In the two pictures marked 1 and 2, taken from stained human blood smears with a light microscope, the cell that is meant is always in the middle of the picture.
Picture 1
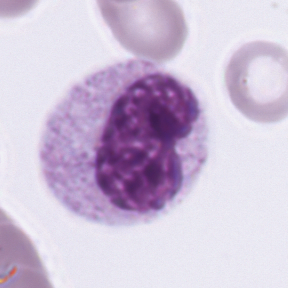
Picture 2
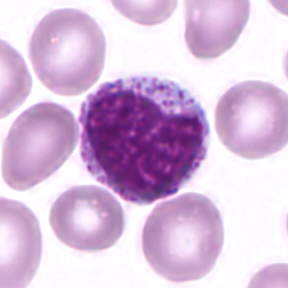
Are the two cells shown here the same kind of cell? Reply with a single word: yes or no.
yes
